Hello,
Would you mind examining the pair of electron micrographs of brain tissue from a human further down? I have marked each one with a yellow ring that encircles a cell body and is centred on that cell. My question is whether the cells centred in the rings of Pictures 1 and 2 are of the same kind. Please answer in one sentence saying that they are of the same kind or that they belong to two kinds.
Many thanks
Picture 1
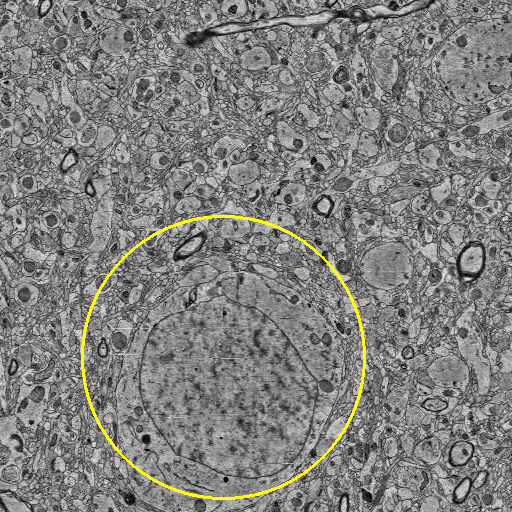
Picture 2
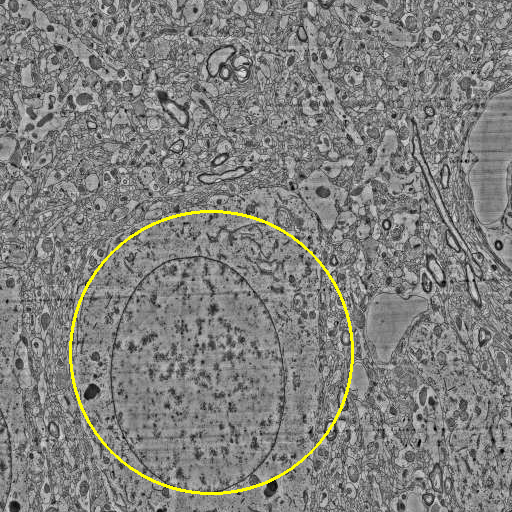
In Pictures 1 and 2, the cells at the heart of the rings are of the same kind.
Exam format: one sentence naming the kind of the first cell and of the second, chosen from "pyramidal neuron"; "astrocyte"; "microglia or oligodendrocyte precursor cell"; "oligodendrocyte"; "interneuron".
Each cell, in the first picture and the second, is a pyramidal neuron.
